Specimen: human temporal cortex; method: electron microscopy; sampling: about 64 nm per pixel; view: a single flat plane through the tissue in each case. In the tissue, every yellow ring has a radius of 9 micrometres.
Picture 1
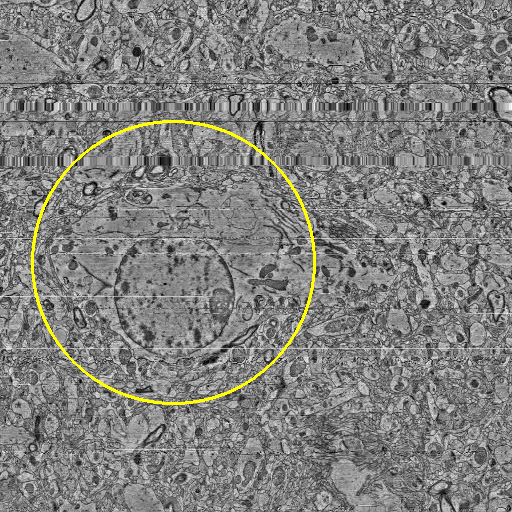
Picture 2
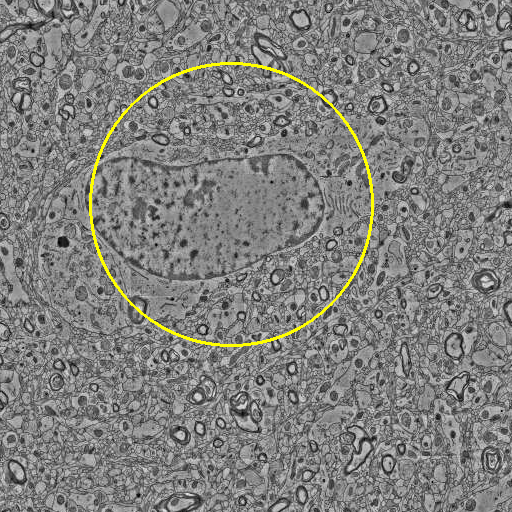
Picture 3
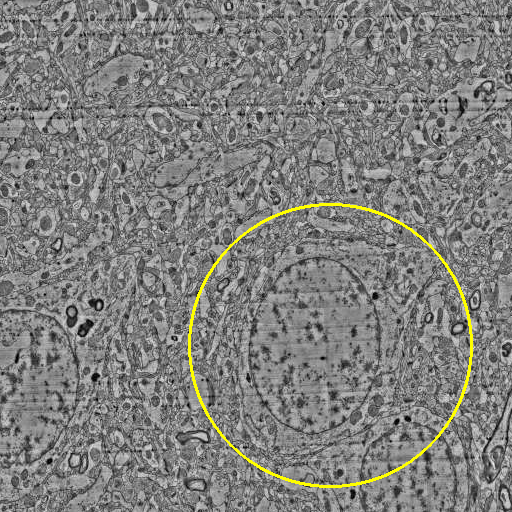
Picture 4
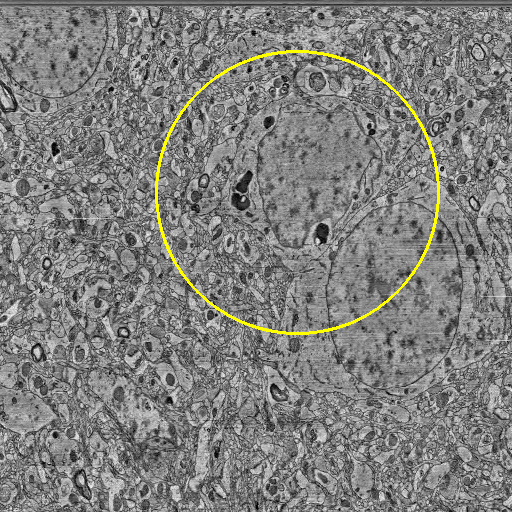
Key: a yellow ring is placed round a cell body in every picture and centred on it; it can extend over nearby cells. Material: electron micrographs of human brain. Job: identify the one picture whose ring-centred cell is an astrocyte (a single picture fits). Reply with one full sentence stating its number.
Picture 1 is the one with the sought cell at the centre of its ring.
